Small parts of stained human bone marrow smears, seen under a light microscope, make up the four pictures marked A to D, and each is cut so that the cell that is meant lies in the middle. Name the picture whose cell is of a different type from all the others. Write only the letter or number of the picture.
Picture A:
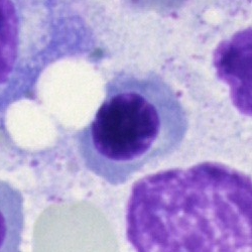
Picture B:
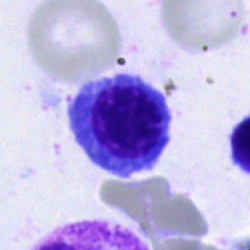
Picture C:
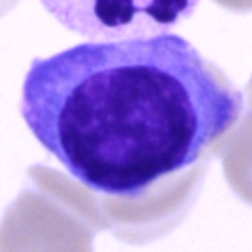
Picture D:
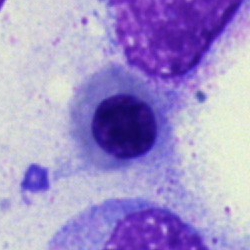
C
